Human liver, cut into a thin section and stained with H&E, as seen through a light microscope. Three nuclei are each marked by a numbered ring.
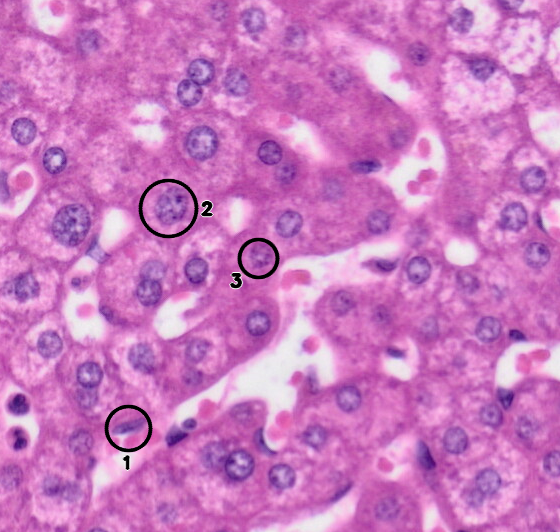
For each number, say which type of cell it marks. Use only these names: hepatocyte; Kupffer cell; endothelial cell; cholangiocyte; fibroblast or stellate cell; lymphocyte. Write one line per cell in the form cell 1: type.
cell 1: endothelial cell
cell 2: hepatocyte
cell 3: hepatocyte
